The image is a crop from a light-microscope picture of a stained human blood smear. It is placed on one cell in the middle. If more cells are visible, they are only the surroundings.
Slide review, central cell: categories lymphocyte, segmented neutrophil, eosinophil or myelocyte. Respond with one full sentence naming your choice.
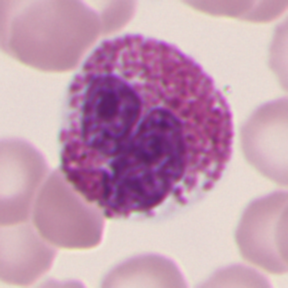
The central cell in this smear crop is an eosinophil.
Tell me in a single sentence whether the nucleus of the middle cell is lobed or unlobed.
Multiple nuclear lobes, two or more, can be counted in this cell.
